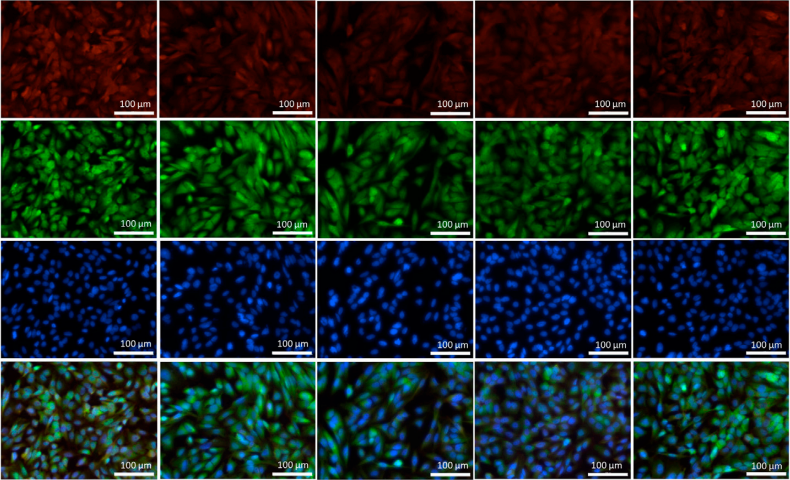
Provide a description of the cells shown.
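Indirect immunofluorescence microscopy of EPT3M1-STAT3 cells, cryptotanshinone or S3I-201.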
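These are cultured cells grown as a dense single layer, shown in a grid of fluorescence images. The cells are mostly elongated, spindle-shaped to polygonal, and lie closely packed side by side, often in roughly parallel groups. The blue images show one oval nucleus per cell, evenly spread across the field. The green stain fills the cell bodies, and the red stain is fainter and diffuse over the cells; in the merged images the blue nuclei sit within the green cell bodies.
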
